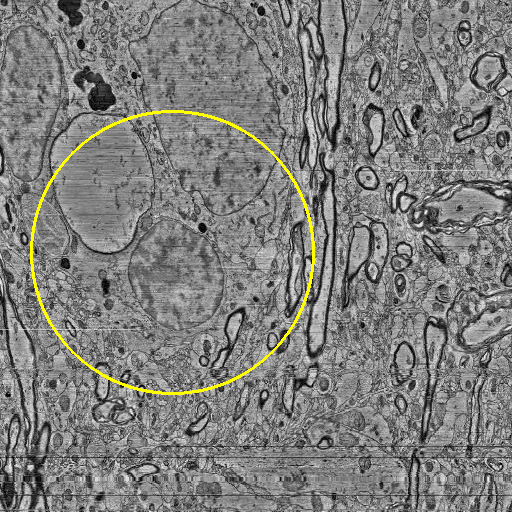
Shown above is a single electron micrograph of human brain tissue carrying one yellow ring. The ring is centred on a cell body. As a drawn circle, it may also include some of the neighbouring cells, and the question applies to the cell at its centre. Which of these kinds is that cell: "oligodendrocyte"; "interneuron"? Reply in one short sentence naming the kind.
The cell marked by the ring is an oligodendrocyte.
